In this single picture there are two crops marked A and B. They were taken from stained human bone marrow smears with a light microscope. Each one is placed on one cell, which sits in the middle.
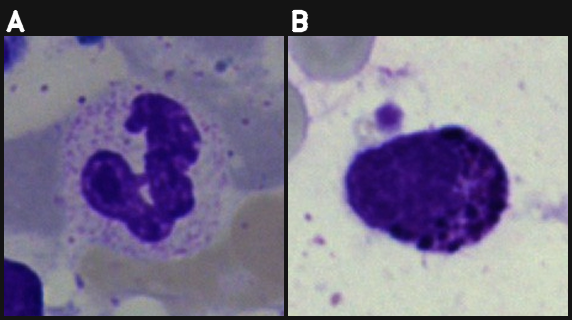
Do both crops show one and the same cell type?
no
